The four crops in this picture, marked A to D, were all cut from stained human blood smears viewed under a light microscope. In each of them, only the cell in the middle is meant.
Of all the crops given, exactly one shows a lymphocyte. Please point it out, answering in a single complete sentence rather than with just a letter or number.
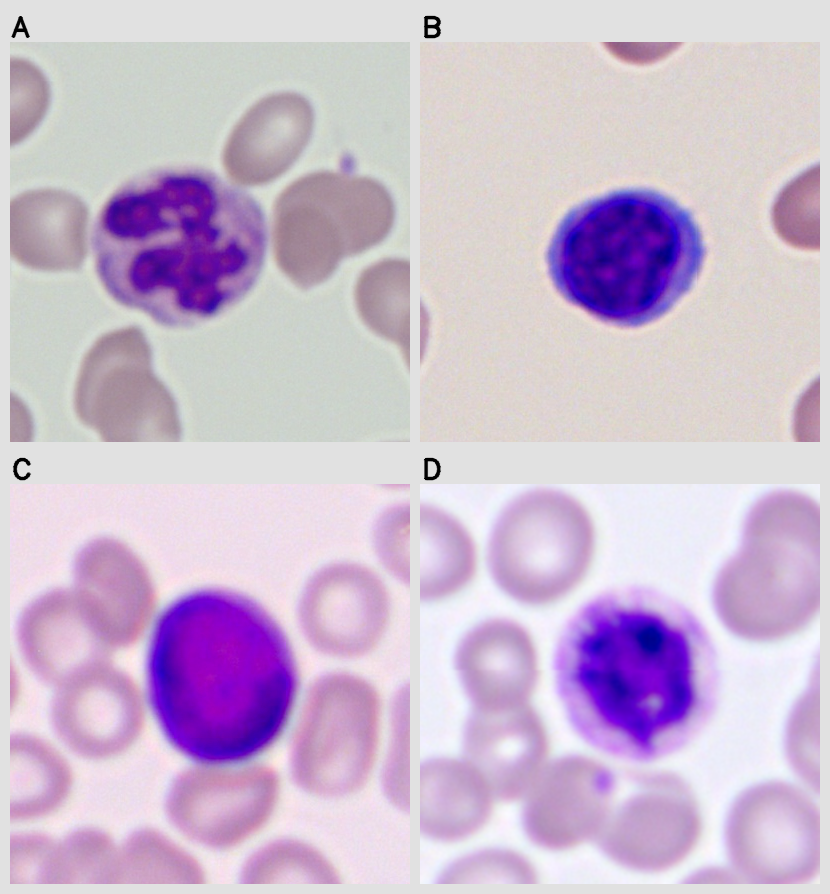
The crop marked B is the one that shows a lymphocyte.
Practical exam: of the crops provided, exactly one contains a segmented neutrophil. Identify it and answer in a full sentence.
When the crops are compared, crop A is the one showing a segmented neutrophil.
